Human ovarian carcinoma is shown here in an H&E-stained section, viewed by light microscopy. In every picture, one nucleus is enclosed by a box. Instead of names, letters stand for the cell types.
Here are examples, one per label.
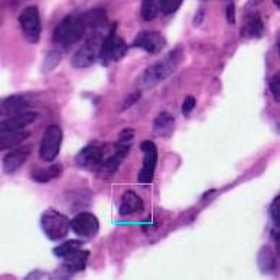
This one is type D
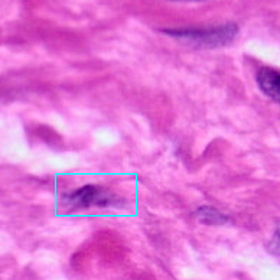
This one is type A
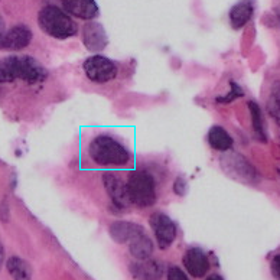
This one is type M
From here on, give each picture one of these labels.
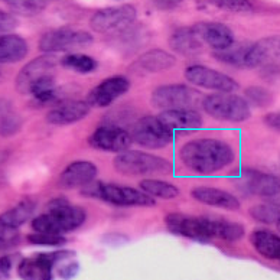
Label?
type M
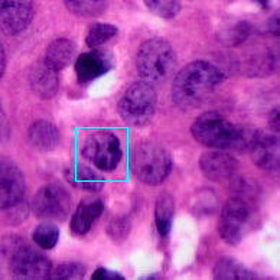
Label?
type D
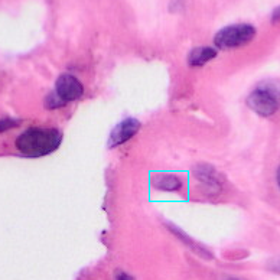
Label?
type A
